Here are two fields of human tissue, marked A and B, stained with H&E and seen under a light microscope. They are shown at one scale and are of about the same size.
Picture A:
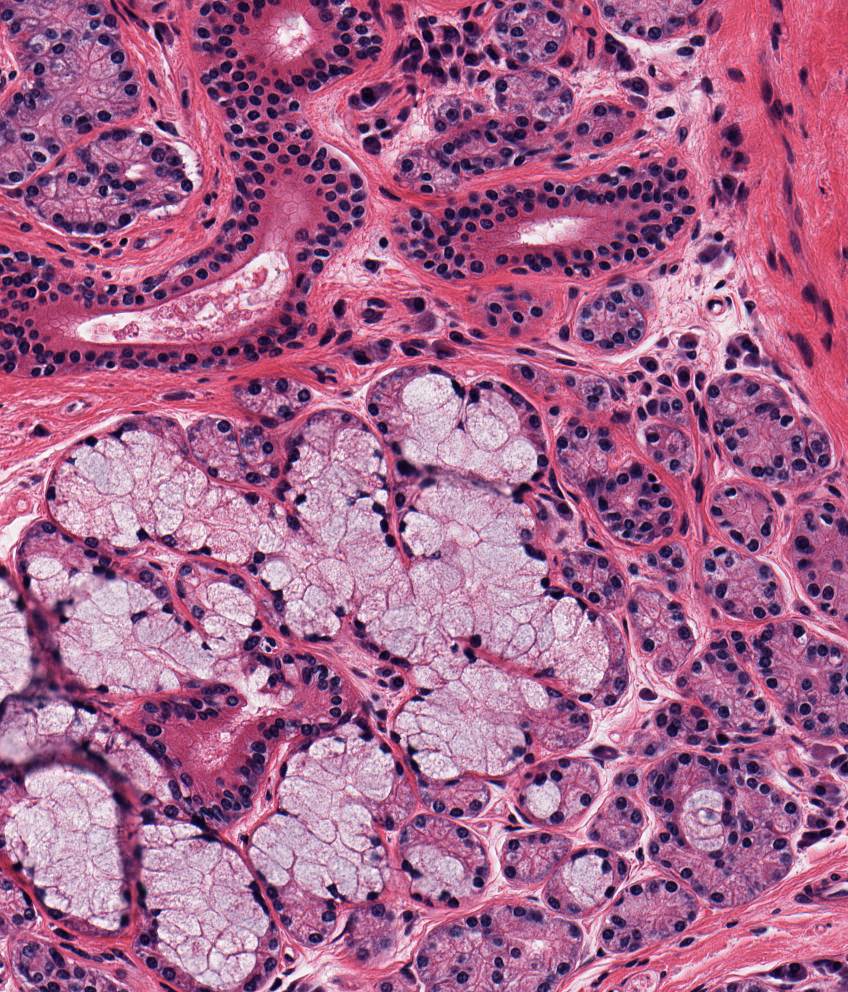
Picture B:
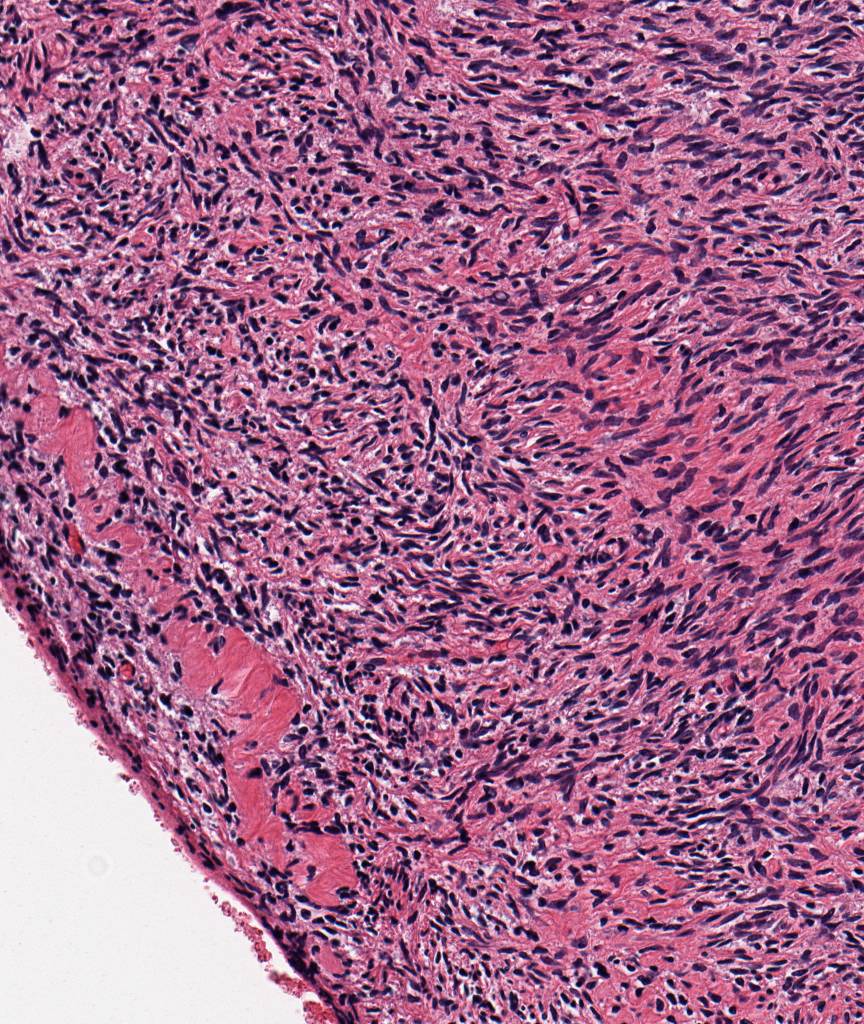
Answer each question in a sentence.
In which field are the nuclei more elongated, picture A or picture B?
The nuclei are more elongated in picture B.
